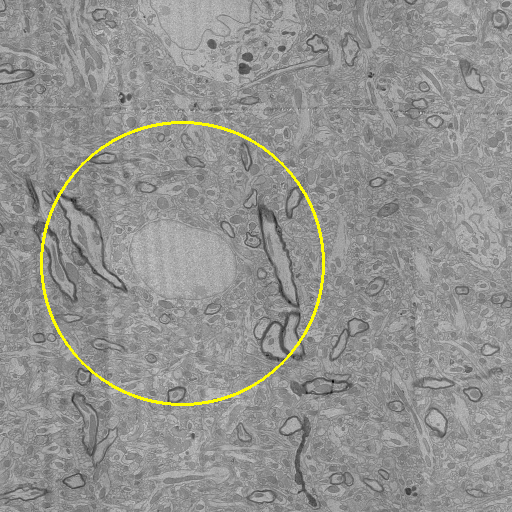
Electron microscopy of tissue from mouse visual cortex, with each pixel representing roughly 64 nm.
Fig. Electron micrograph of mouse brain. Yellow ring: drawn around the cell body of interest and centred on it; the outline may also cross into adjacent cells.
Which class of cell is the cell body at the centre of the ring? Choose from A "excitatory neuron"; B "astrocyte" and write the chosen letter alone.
B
